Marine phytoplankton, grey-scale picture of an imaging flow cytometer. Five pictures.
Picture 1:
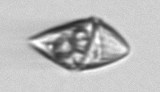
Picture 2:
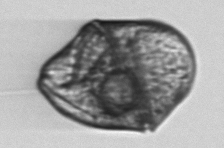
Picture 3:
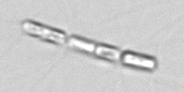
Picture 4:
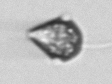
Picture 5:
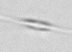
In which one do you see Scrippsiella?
In picture 4.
